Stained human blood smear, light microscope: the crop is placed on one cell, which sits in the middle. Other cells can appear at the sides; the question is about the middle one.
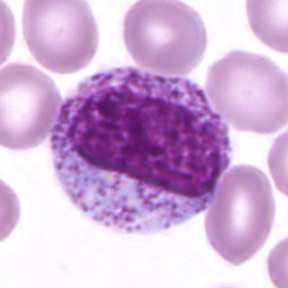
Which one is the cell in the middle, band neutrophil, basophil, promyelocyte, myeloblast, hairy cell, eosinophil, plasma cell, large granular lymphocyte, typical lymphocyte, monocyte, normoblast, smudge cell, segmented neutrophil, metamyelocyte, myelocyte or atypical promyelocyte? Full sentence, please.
The cell the crop is centered on is a myelocyte.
